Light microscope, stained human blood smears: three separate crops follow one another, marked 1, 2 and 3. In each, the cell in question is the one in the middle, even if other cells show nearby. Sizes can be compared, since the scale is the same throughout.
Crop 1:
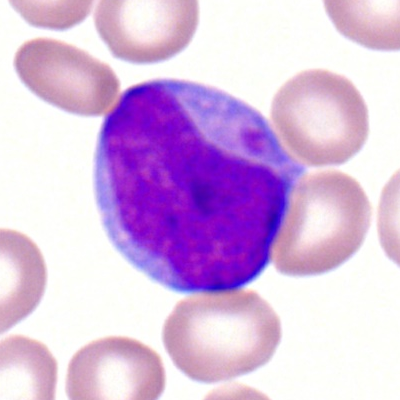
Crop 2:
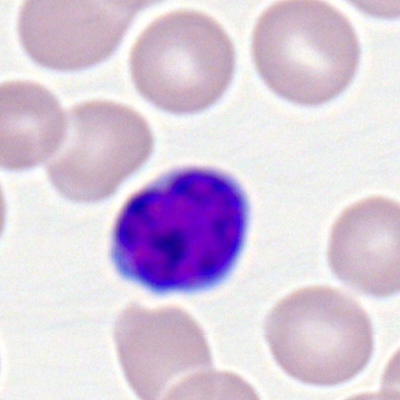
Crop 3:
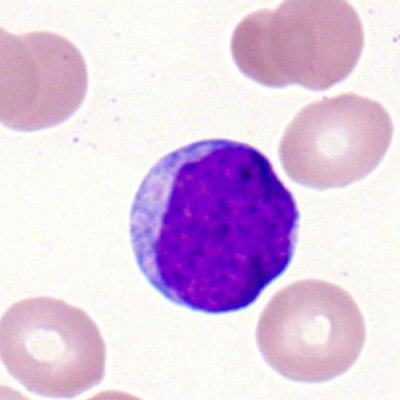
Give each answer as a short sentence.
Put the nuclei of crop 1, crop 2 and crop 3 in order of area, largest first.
The order is 1, 3, 2, beginning with the largest.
